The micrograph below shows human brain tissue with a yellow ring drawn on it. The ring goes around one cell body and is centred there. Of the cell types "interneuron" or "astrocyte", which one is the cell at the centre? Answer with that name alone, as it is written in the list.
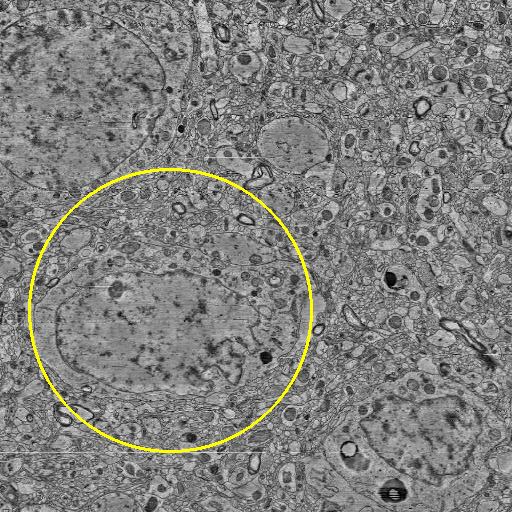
interneuron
